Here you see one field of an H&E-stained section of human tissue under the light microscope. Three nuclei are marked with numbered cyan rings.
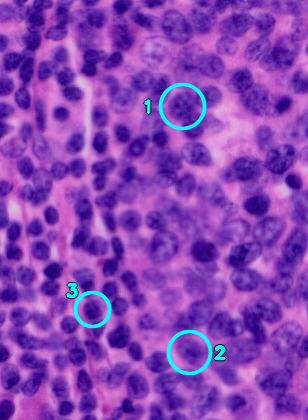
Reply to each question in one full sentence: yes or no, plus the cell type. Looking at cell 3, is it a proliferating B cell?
No, the cell at number 3 is a small lymphocyte instead of a proliferating B cell.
